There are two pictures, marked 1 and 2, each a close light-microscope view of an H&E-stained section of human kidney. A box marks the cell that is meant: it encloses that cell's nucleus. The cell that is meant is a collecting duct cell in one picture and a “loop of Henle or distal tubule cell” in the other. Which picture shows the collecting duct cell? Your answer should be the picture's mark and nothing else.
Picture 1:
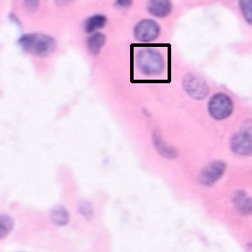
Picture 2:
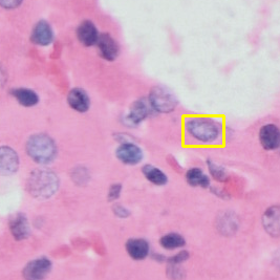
1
